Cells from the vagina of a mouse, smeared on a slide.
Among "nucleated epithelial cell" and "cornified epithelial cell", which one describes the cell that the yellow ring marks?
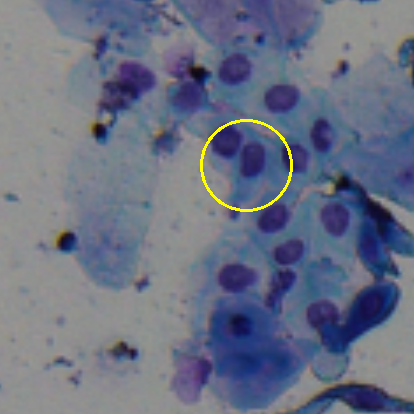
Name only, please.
nucleated epithelial cell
